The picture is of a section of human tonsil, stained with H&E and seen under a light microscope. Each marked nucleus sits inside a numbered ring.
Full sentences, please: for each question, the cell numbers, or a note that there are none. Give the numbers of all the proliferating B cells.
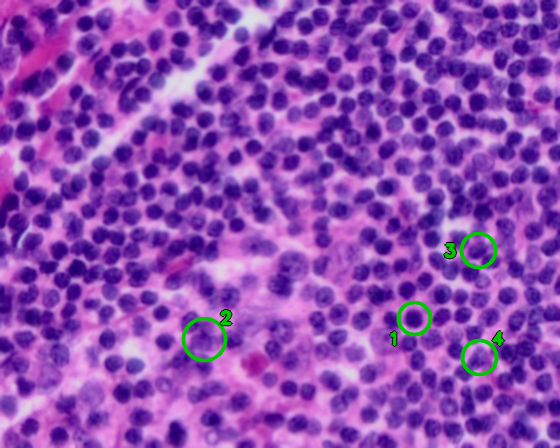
Cell 2 is the one numbered cell that is a proliferating B cell.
